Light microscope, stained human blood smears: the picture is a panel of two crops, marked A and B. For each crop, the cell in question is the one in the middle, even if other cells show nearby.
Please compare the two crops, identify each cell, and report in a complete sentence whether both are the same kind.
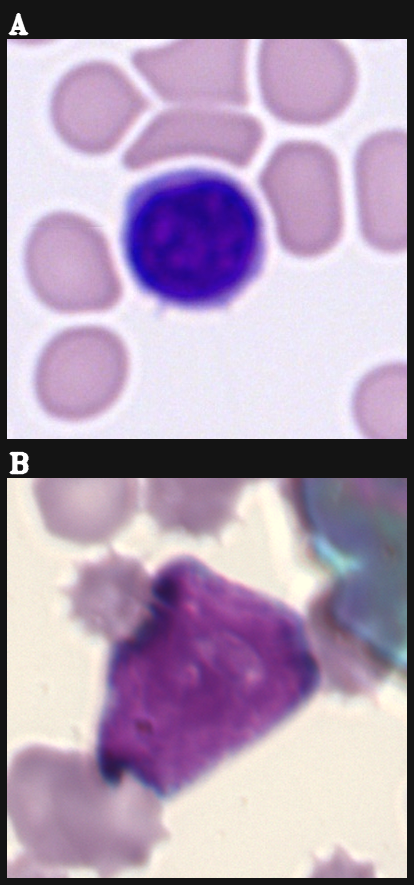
No; crop A is a lymphocyte, while crop B is a blast.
